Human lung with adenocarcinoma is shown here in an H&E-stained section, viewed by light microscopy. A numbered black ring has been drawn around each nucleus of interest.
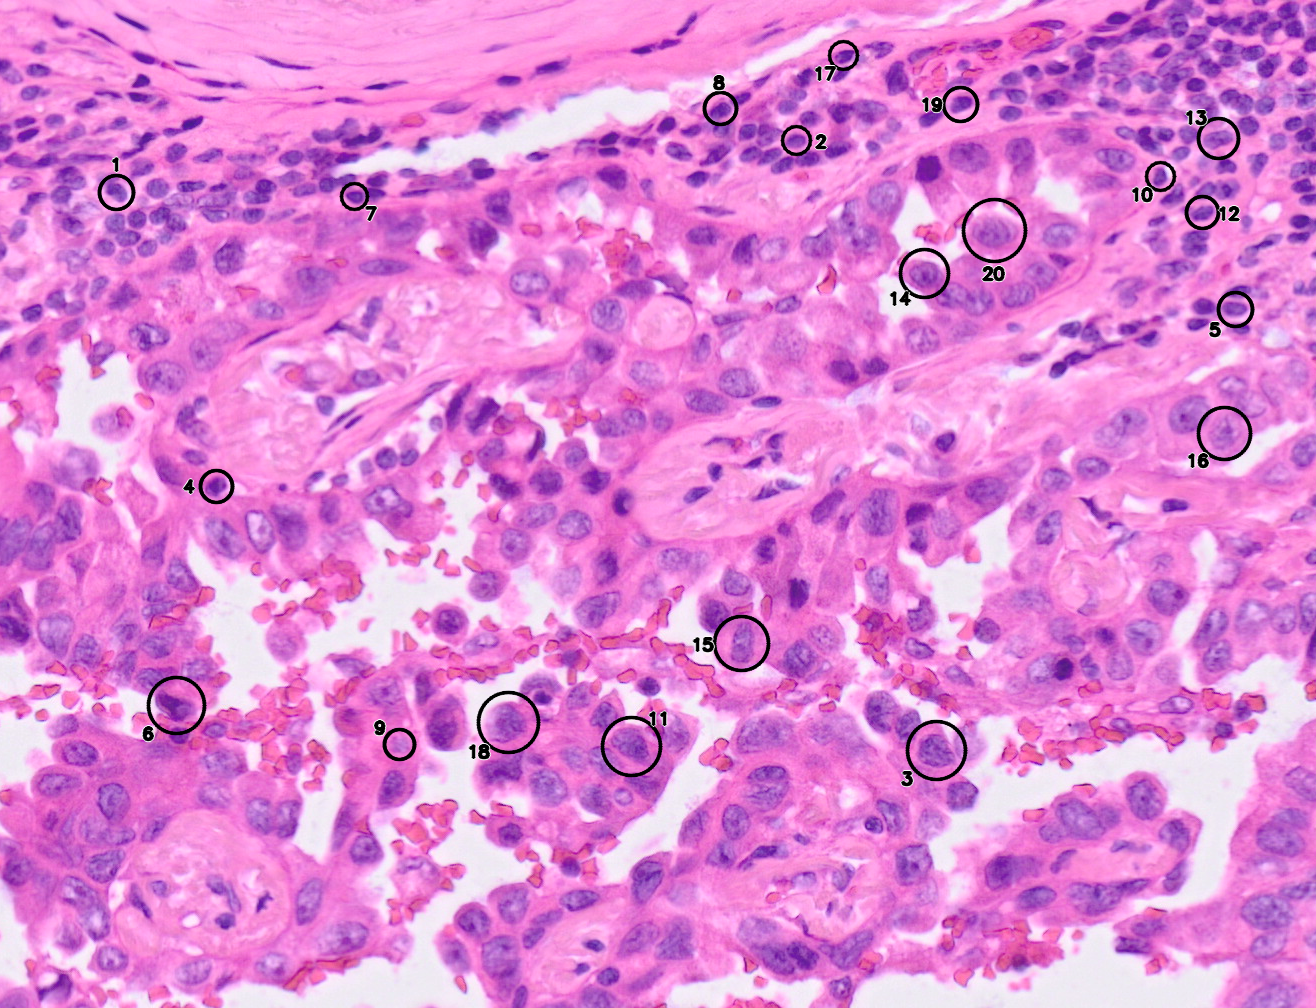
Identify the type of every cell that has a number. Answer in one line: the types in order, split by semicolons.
lymphocyte; lymphocyte; carcinoma cell; lymphocyte; lymphocyte; carcinoma cell; lymphocyte; lymphocyte; carcinoma cell; lymphocyte; carcinoma cell; lymphocyte; lymphocyte; carcinoma cell; carcinoma cell; carcinoma cell; lymphocyte; carcinoma cell; lymphocyte; carcinoma cell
